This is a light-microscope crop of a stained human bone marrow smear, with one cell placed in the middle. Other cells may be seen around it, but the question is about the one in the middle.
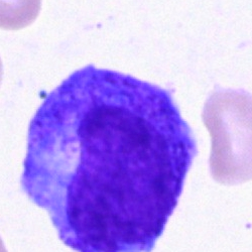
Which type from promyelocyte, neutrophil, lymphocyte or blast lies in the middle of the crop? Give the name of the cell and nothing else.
promyelocyte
